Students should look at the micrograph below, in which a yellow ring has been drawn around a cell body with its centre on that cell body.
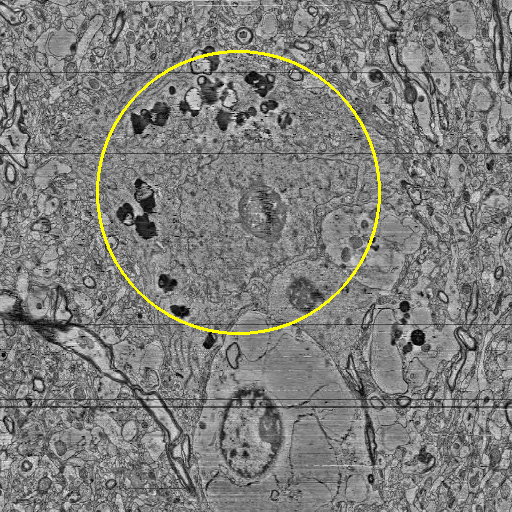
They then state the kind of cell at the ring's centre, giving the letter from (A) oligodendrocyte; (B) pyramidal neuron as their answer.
B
